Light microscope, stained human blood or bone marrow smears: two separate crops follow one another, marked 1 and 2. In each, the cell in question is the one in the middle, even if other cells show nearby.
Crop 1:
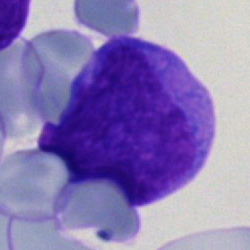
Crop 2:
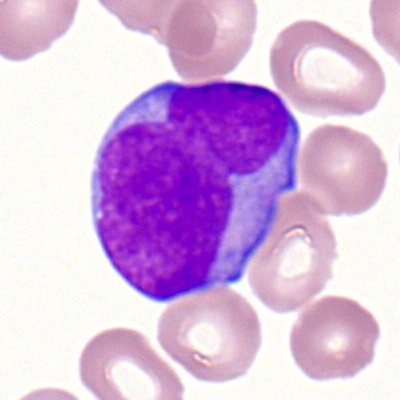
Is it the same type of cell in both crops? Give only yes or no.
yes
